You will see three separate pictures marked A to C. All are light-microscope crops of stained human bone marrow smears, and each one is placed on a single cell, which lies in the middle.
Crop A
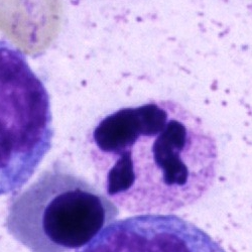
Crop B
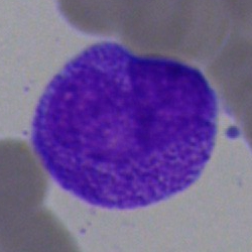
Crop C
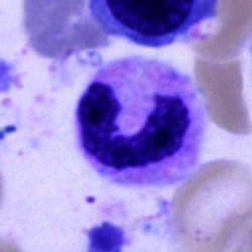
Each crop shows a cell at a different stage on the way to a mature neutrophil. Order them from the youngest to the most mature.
B, C, A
